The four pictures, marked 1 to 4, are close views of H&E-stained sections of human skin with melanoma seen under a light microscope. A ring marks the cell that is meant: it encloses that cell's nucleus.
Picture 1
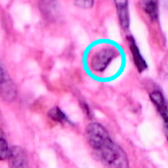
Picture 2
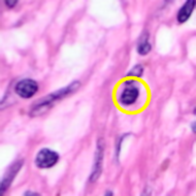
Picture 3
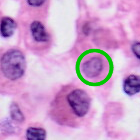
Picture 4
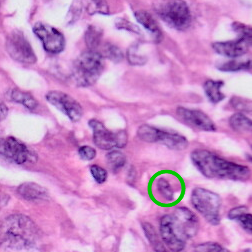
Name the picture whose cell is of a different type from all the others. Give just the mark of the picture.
2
